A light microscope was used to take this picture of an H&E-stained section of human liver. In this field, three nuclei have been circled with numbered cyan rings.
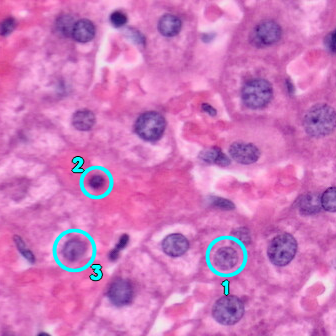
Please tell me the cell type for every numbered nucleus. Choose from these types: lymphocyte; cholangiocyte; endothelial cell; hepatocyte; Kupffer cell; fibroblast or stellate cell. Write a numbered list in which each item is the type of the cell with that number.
1. hepatocyte
2. lymphocyte
3. hepatocyte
